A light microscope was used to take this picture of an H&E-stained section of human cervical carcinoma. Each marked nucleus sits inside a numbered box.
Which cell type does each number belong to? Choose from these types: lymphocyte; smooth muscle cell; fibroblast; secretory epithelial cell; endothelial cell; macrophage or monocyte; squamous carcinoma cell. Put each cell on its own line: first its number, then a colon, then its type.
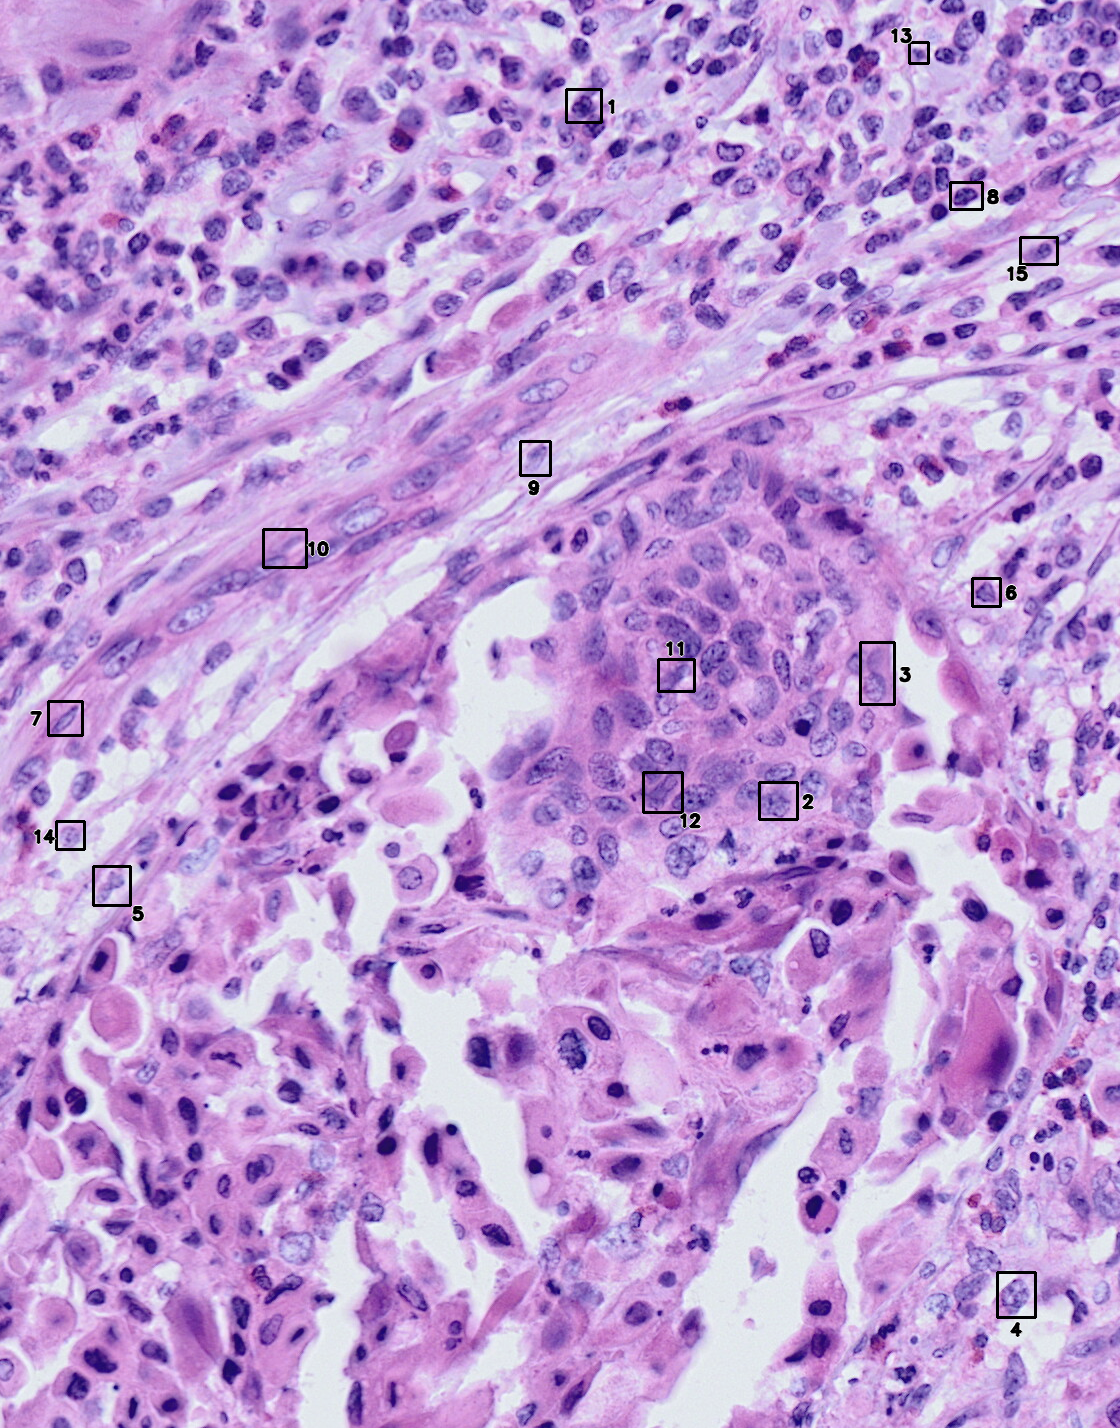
1: lymphocyte
2: squamous carcinoma cell
3: squamous carcinoma cell
4: macrophage or monocyte
5: fibroblast
6: macrophage or monocyte
7: endothelial cell
8: lymphocyte
9: fibroblast
10: endothelial cell
11: squamous carcinoma cell
12: squamous carcinoma cell
13: lymphocyte
14: fibroblast
15: macrophage or monocyte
